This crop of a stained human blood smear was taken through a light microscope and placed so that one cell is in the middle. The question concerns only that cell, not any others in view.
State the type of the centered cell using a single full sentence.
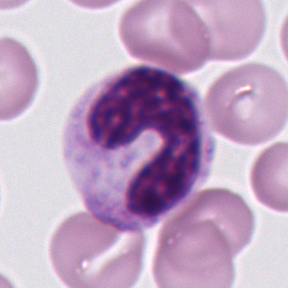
The target cell in the middle of the crop is a band neutrophil.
